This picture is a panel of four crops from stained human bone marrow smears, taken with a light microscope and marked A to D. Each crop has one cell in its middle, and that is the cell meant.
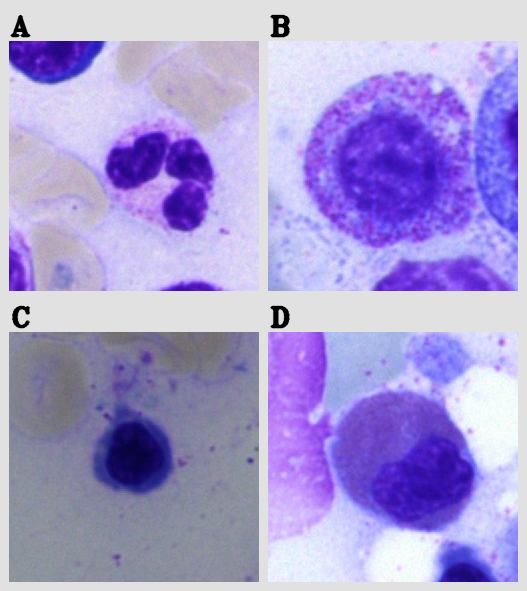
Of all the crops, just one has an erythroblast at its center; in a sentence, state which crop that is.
When the crops are compared, crop C is the one showing an erythroblast.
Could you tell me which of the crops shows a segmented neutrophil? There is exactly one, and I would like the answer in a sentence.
The crop marked A is the one that shows a segmented neutrophil.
